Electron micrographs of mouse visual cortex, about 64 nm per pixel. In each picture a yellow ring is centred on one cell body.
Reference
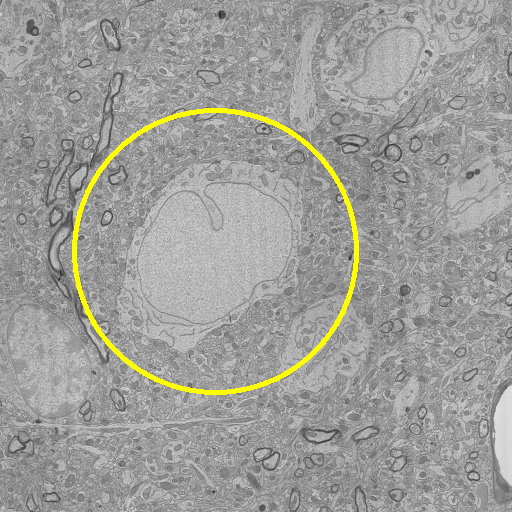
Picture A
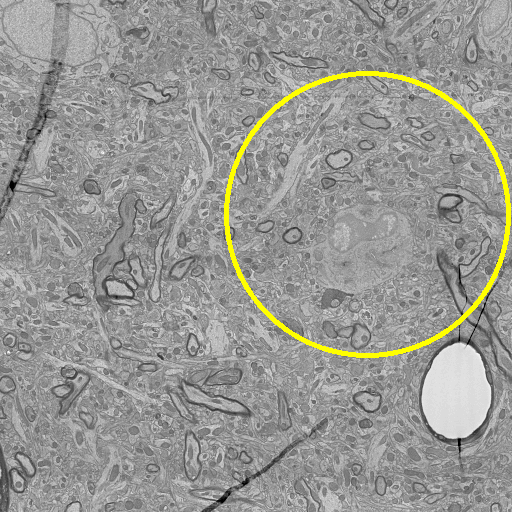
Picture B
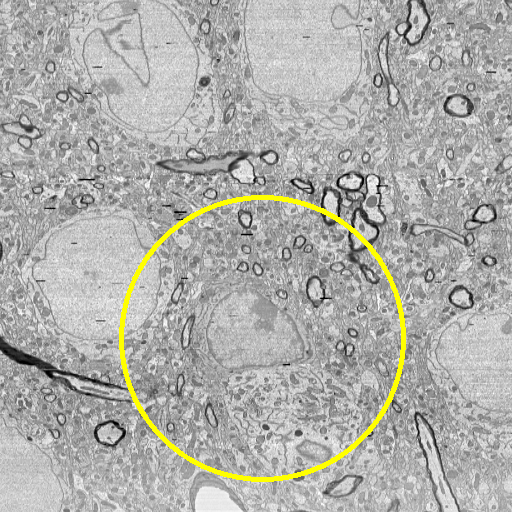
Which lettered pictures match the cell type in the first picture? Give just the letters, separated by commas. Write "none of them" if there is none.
none of them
